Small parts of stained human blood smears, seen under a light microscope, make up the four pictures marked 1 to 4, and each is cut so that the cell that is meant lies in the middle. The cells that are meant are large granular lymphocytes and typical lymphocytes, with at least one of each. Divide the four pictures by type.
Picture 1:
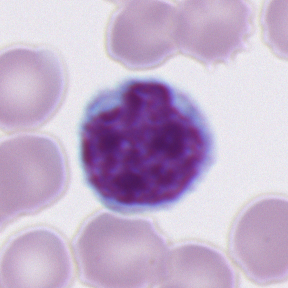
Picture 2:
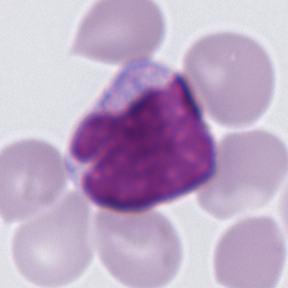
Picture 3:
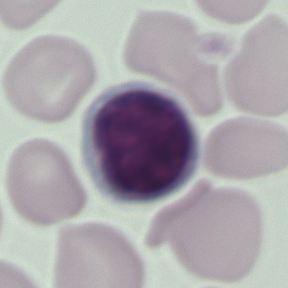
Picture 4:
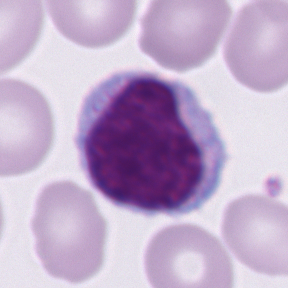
1: typical lymphocyte
2: large granular lymphocyte
3: typical lymphocyte
4: typical lymphocyte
